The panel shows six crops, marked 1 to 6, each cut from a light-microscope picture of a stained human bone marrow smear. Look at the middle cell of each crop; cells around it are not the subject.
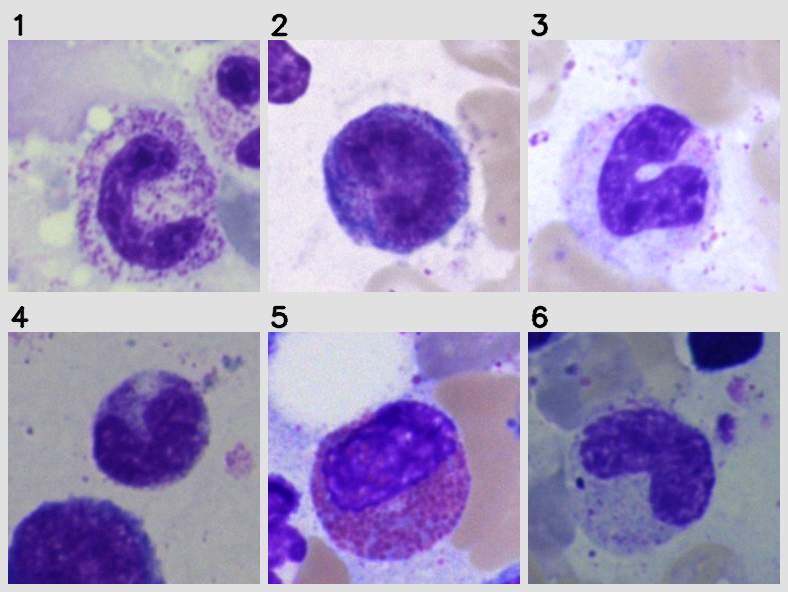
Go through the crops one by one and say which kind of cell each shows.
1: band neutrophil
2: promyelocyte
3: band neutrophil
4: band neutrophil
5: eosinophil
6: band neutrophil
